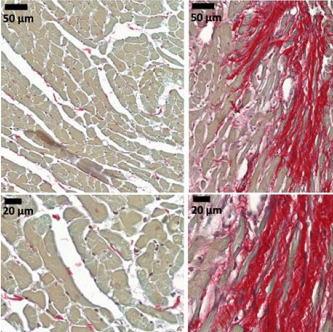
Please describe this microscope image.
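In the left column the muscle fibres run in parallel bundles with only thin red lines of collagen between them. In the right column thick, wavy red bands of collagen sweep through the tissue, separating and replacing groups of muscle fibres. The red deposits form broad streaks that run along the fibre direction and are plainly visible at both magnifications. Elsewhere the fibres remain tan and elongated, with narrow clear gaps between them.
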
